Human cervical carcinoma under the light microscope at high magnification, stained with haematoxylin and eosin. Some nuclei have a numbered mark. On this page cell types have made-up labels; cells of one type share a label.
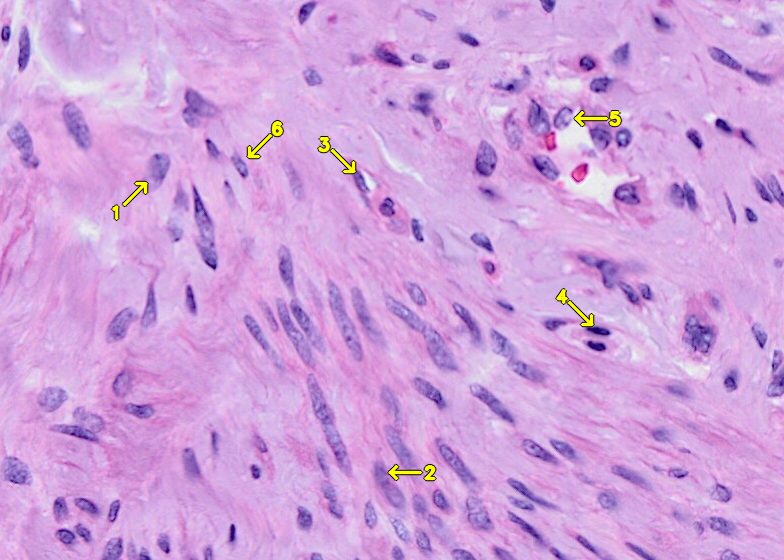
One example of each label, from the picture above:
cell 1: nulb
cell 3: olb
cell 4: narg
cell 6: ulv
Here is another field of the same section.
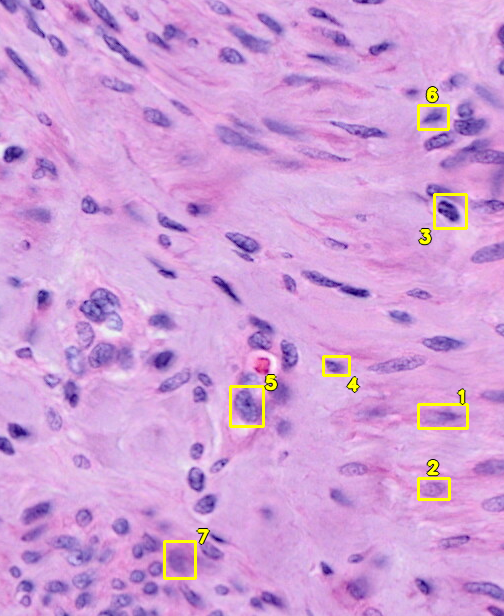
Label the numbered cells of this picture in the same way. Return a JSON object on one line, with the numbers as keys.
{"1": "ulv", "2": "ulv", "3": "narg", "4": "ulv", "5": "olb", "6": "nulb", "7": "ulv"}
